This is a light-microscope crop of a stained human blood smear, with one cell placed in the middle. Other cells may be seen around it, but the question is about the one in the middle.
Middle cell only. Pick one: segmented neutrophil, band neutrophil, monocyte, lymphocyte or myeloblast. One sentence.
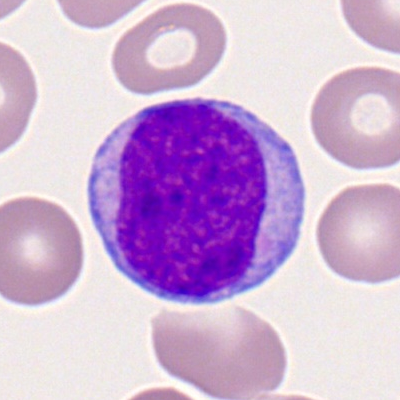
The crop centres on a single cell, and that cell is a myeloblast.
